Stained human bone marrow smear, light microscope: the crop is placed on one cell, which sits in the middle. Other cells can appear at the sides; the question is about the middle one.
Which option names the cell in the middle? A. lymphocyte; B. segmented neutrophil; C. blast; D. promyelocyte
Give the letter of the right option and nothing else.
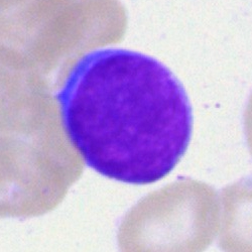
C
